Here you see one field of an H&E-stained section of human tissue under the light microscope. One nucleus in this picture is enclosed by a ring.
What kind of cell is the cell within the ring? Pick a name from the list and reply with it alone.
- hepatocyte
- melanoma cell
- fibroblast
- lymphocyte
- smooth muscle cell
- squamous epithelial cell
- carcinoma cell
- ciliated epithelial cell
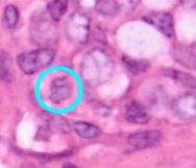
ciliated epithelial cell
